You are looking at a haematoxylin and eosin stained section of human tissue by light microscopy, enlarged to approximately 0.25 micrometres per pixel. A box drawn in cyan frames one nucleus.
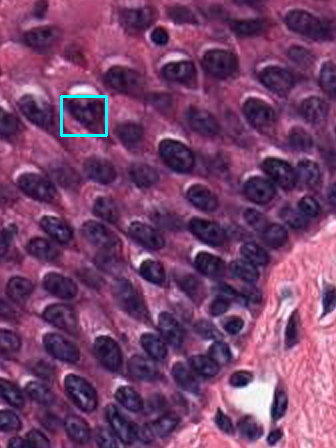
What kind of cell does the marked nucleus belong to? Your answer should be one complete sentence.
The marked nucleus is that of a squamous epithelial cell.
